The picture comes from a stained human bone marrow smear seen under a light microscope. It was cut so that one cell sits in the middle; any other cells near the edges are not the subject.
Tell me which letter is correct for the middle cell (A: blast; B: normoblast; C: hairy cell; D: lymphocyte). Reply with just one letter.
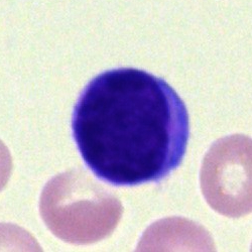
D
